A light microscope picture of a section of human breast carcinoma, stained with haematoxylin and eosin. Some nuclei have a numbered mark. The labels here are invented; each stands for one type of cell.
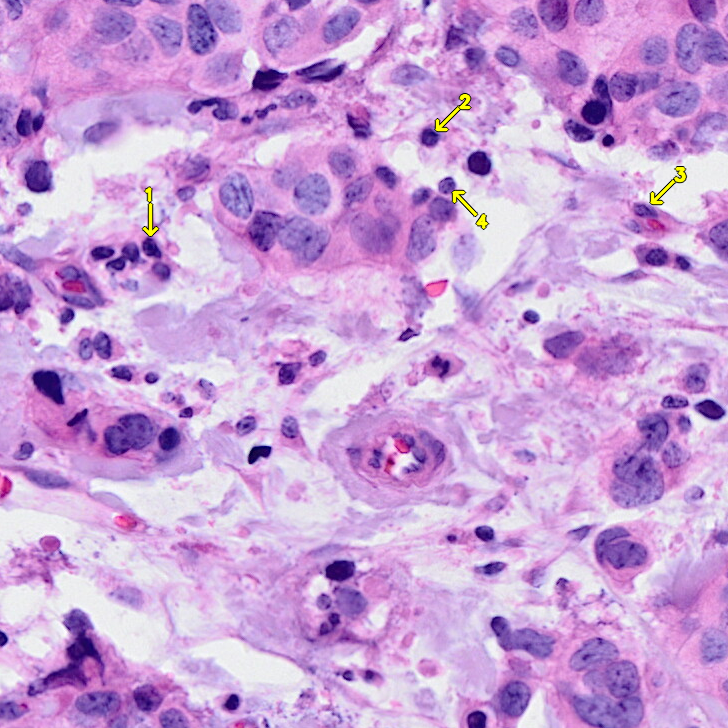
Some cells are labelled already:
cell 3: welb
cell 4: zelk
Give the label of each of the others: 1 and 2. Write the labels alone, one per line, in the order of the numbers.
zelk
zelk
